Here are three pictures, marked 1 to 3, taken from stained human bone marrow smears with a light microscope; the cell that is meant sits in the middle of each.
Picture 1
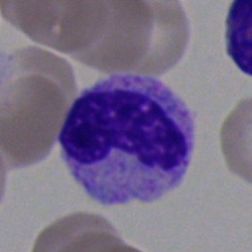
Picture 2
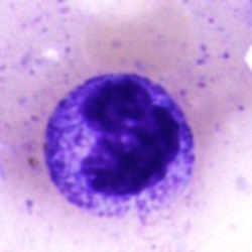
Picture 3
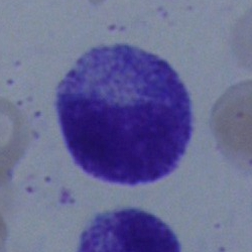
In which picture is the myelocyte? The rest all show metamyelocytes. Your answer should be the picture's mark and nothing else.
3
